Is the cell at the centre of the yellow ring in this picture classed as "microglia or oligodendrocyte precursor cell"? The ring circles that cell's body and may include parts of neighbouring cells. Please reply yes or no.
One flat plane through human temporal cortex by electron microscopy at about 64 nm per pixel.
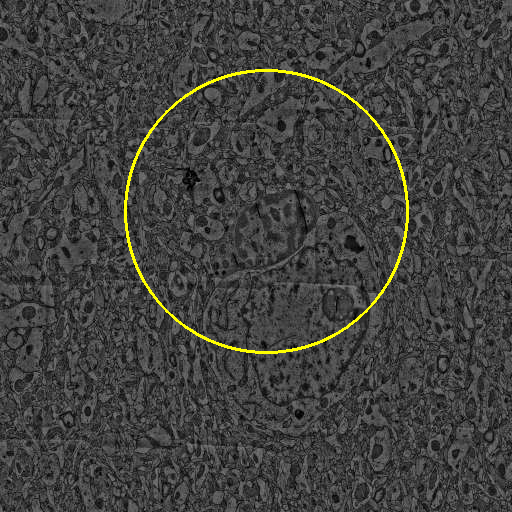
No, it is of another kind.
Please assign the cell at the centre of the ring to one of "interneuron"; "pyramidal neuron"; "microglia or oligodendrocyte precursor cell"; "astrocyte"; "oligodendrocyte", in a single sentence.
Instead, the ring in this picture marks an oligodendrocyte.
